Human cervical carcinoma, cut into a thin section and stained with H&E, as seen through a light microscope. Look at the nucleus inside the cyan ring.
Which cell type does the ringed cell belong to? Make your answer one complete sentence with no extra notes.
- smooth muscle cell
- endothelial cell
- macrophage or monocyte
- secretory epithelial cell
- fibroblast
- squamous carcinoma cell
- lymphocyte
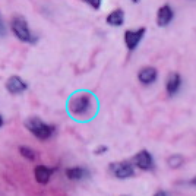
So far as cell type goes, the ringed cell is a smooth muscle cell.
